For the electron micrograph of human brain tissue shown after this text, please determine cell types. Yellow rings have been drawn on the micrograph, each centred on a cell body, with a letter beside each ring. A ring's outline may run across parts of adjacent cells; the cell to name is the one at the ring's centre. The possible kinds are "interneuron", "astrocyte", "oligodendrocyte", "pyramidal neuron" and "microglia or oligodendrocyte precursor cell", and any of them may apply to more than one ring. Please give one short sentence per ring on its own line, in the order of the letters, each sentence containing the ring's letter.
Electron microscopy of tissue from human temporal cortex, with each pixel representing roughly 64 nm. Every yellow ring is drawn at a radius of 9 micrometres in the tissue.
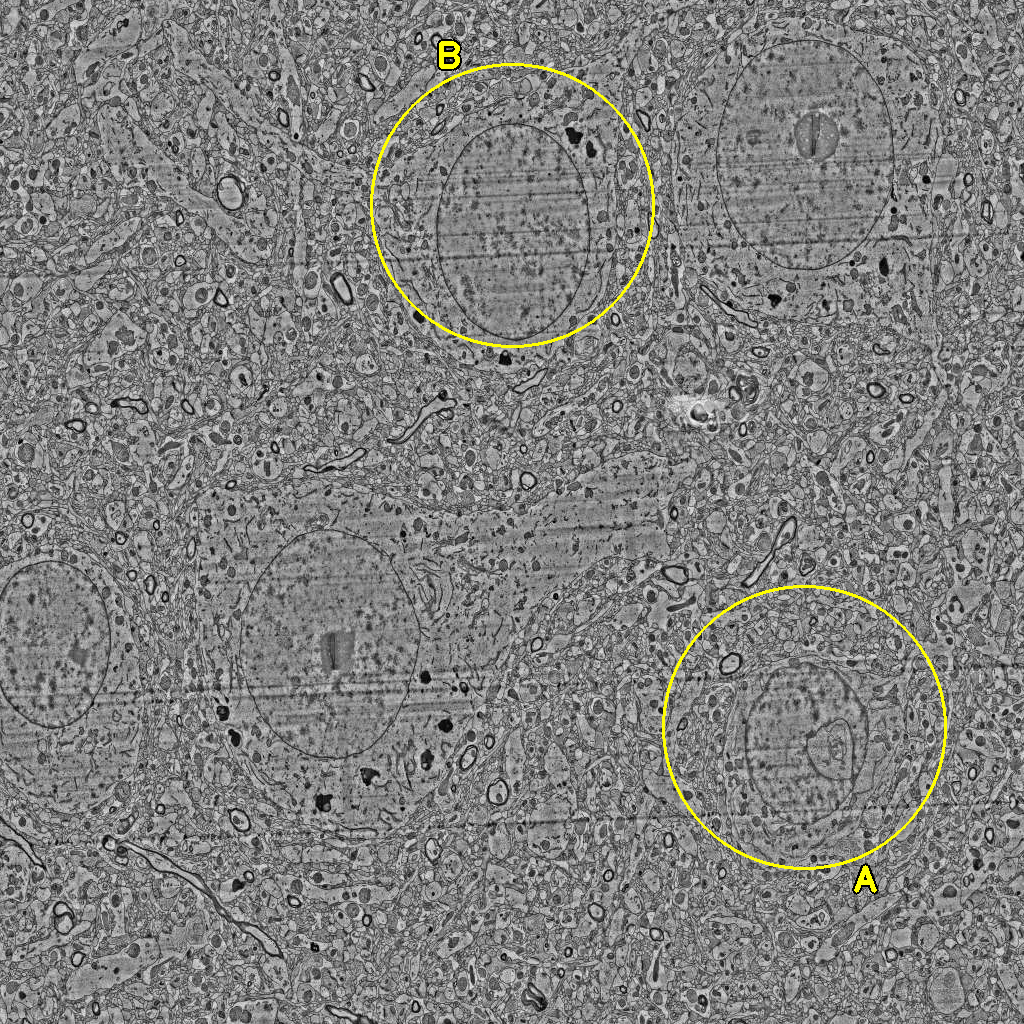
Ring A is set around an interneuron.
Ring B is set around a pyramidal neuron.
